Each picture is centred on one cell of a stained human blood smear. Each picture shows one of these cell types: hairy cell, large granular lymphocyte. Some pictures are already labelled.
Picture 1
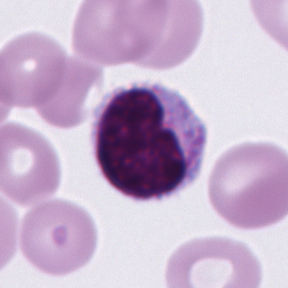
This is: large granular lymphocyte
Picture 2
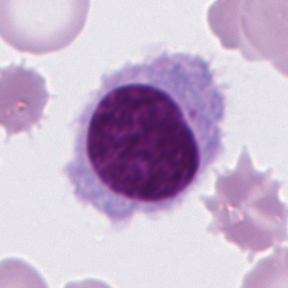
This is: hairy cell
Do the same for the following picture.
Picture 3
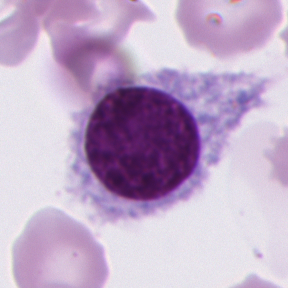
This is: hairy cell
